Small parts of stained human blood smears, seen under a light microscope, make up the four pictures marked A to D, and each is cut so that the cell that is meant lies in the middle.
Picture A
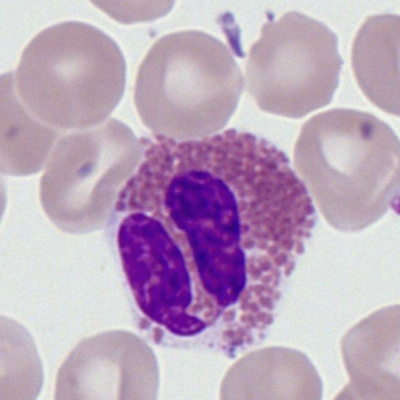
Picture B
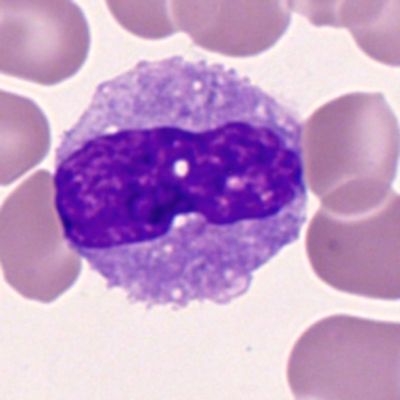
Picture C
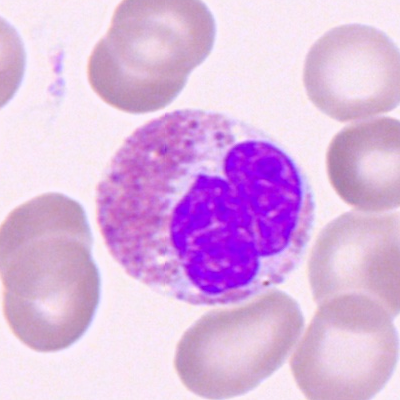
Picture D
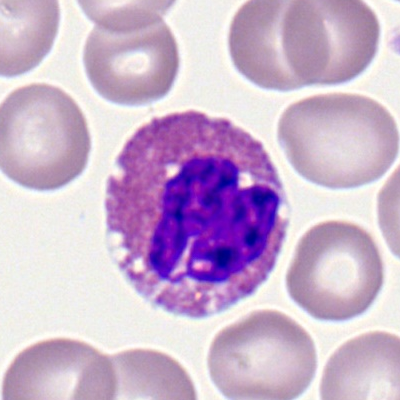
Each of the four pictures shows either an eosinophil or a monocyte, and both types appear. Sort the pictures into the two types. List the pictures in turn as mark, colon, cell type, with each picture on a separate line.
A: eosinophil
B: monocyte
C: eosinophil
D: eosinophil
